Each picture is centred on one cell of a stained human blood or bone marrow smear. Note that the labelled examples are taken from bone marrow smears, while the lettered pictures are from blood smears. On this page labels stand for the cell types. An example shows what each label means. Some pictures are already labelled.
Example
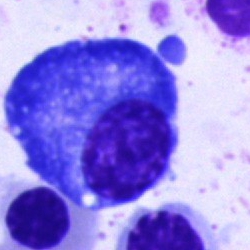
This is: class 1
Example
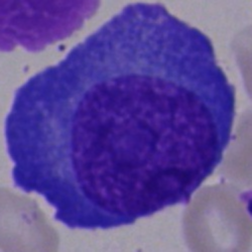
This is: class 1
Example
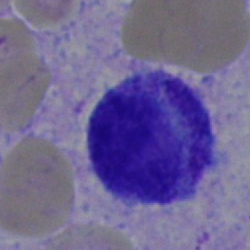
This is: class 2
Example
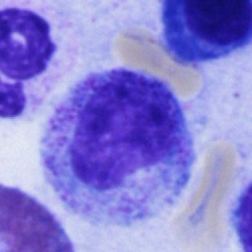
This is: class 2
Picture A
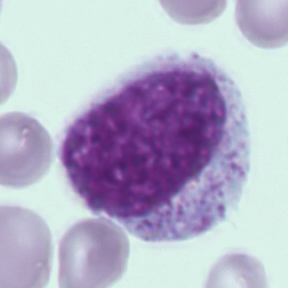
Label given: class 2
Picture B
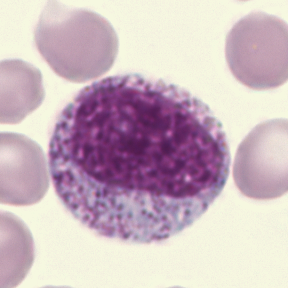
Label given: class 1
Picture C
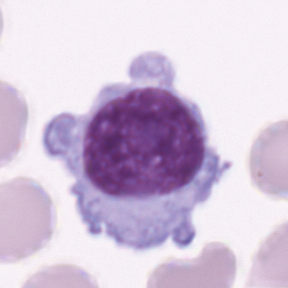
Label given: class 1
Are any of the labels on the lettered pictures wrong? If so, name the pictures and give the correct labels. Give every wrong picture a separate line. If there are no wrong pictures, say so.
B: not class 1 but class 2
